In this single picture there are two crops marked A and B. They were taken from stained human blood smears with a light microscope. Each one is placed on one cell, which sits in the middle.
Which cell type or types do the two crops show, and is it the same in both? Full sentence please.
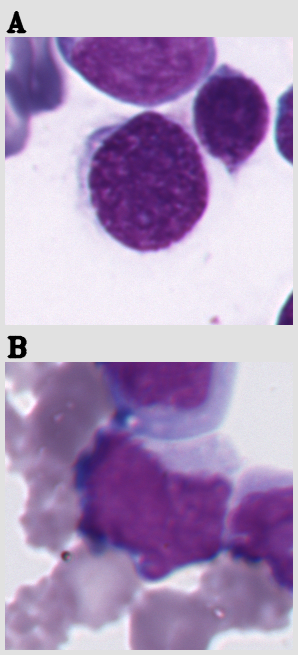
Yes, the cells in both crops are blasts.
